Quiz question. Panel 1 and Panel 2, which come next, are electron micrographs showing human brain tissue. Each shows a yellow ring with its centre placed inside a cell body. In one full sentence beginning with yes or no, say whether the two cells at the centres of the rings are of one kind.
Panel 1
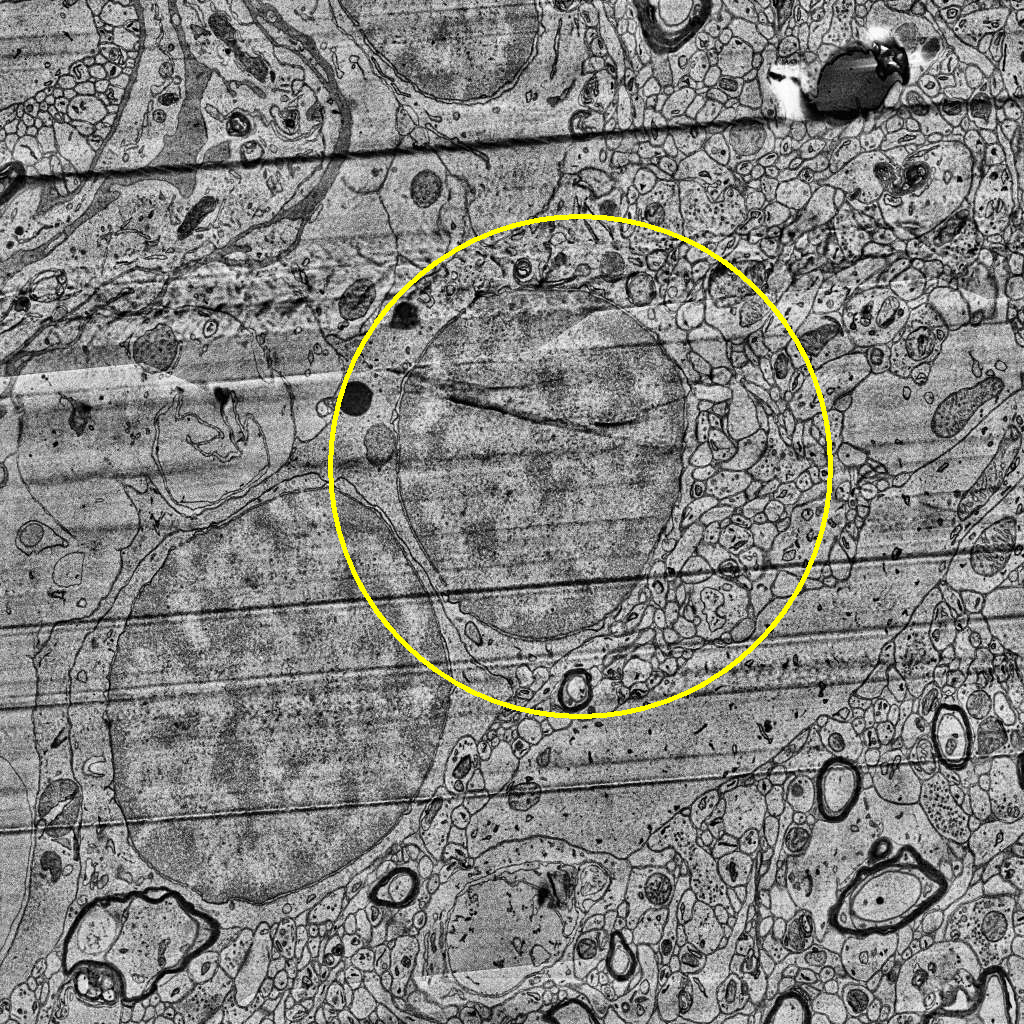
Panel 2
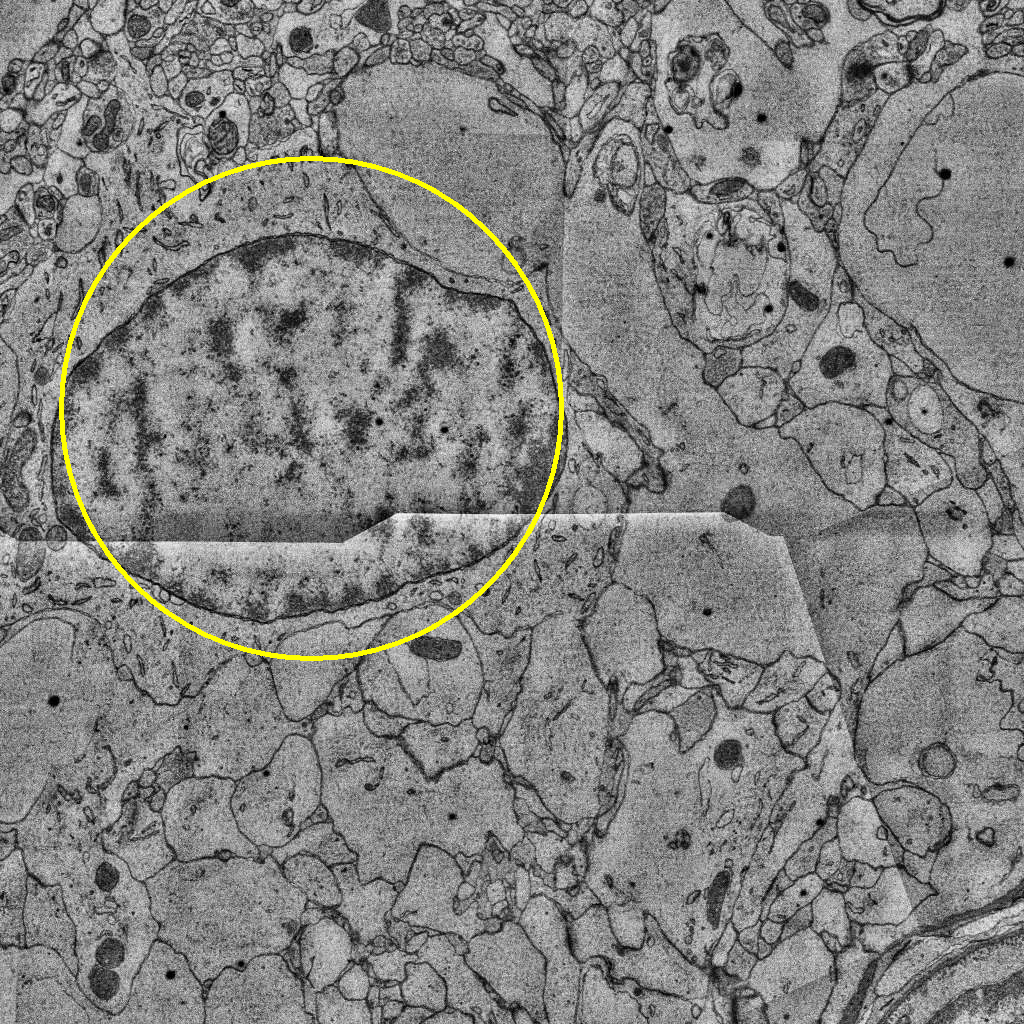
No, Panel 1 and Panel 2 show two kinds of cell at the centre of the ring.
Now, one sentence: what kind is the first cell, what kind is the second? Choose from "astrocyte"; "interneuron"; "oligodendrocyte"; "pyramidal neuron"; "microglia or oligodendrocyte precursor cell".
The two cells are an oligodendrocyte in the first picture and a microglial cell or oligodendrocyte precursor cell in the second.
